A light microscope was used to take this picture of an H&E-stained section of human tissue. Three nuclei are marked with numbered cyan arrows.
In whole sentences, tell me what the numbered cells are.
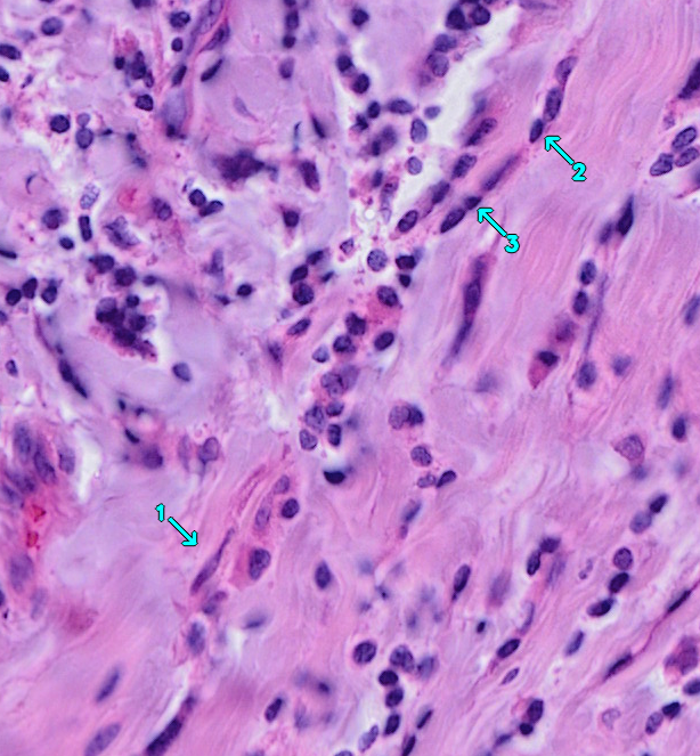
Cell 1 is a fibroblast, cell 2 is a lymphocyte and cell 3 is a lymphocyte.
